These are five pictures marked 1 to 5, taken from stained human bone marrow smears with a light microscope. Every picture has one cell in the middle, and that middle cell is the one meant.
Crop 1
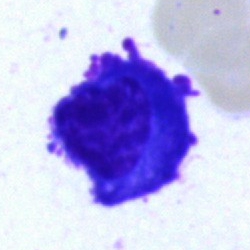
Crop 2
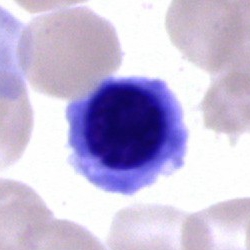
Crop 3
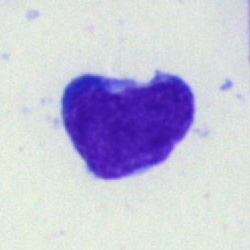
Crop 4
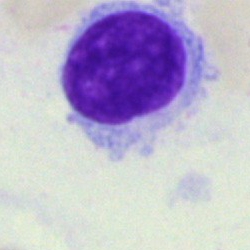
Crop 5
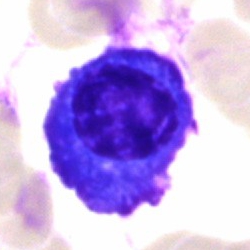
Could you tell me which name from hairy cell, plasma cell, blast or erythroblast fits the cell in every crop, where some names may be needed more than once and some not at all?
1: plasma cell
2: erythroblast
3: blast
4: hairy cell
5: plasma cell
